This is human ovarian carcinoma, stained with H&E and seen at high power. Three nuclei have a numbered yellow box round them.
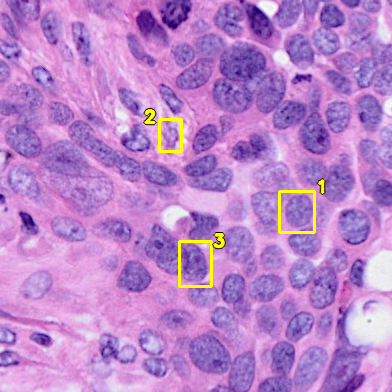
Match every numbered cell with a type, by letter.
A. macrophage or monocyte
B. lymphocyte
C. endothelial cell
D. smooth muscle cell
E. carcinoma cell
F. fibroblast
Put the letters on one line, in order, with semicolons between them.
E; F; E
